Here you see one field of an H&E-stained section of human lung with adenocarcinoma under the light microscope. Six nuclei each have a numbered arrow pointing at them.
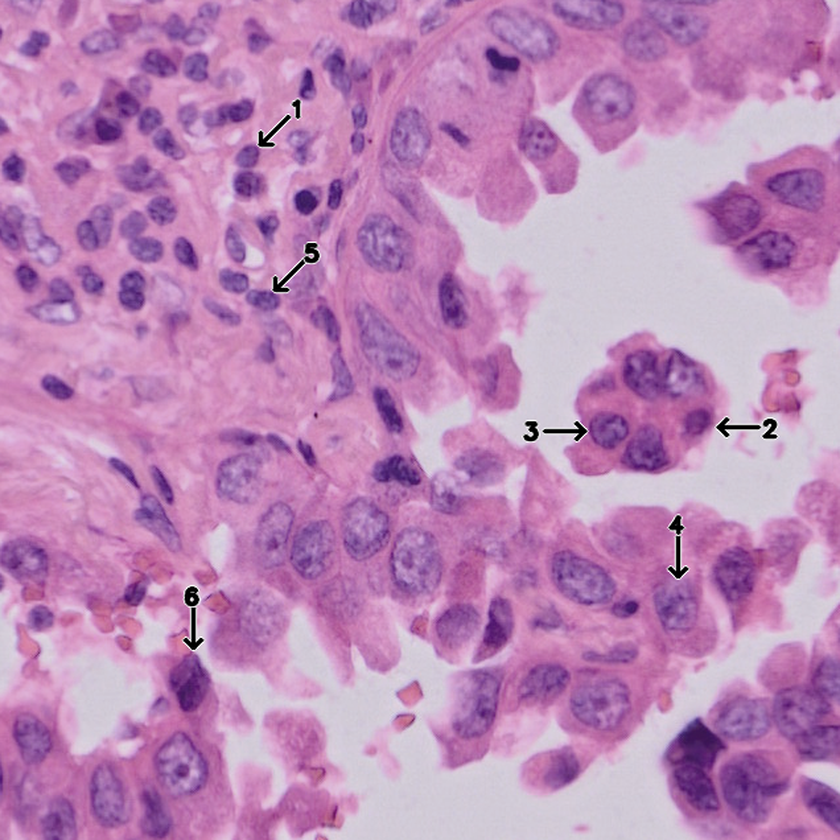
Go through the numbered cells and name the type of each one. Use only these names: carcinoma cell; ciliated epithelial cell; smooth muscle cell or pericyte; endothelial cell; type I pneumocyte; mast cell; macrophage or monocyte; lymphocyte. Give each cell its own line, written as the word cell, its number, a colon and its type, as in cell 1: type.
cell 1: lymphocyte
cell 2: carcinoma cell
cell 3: carcinoma cell
cell 4: carcinoma cell
cell 5: lymphocyte
cell 6: carcinoma cell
